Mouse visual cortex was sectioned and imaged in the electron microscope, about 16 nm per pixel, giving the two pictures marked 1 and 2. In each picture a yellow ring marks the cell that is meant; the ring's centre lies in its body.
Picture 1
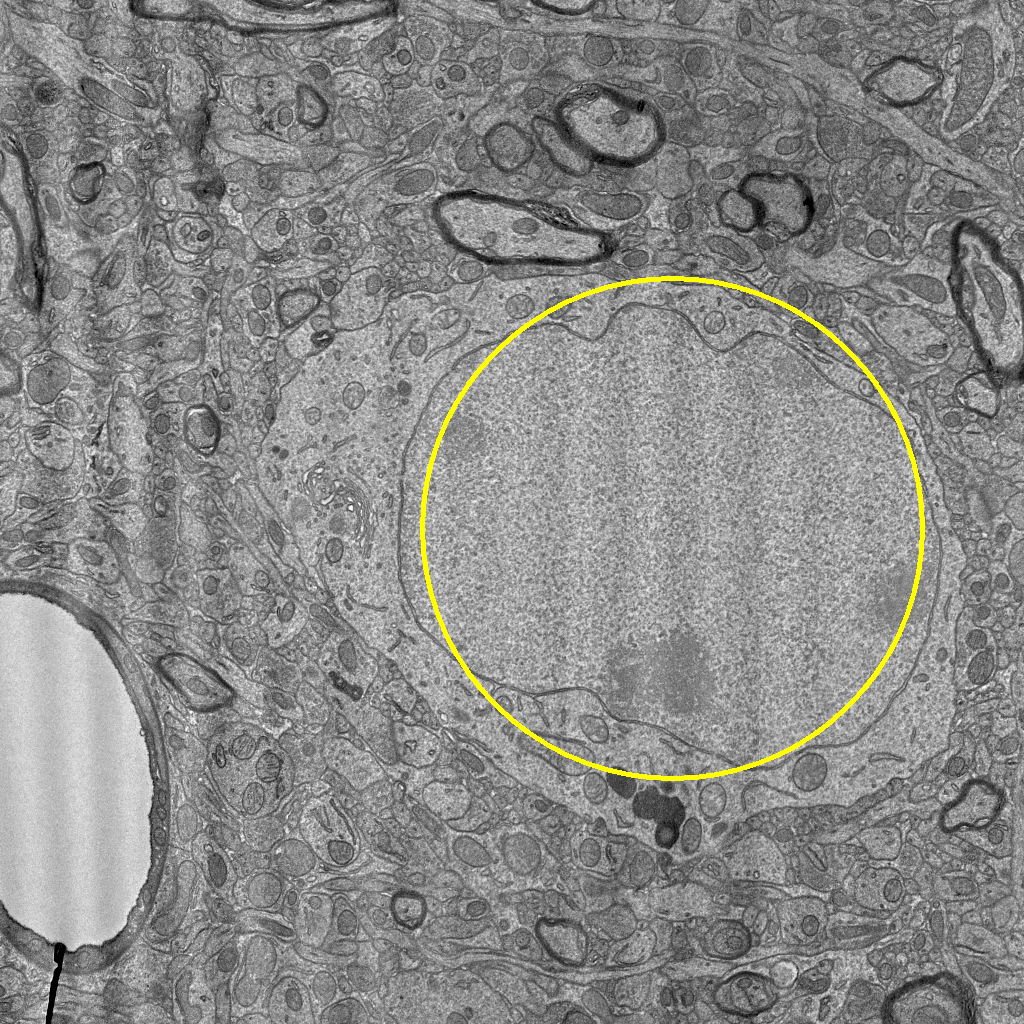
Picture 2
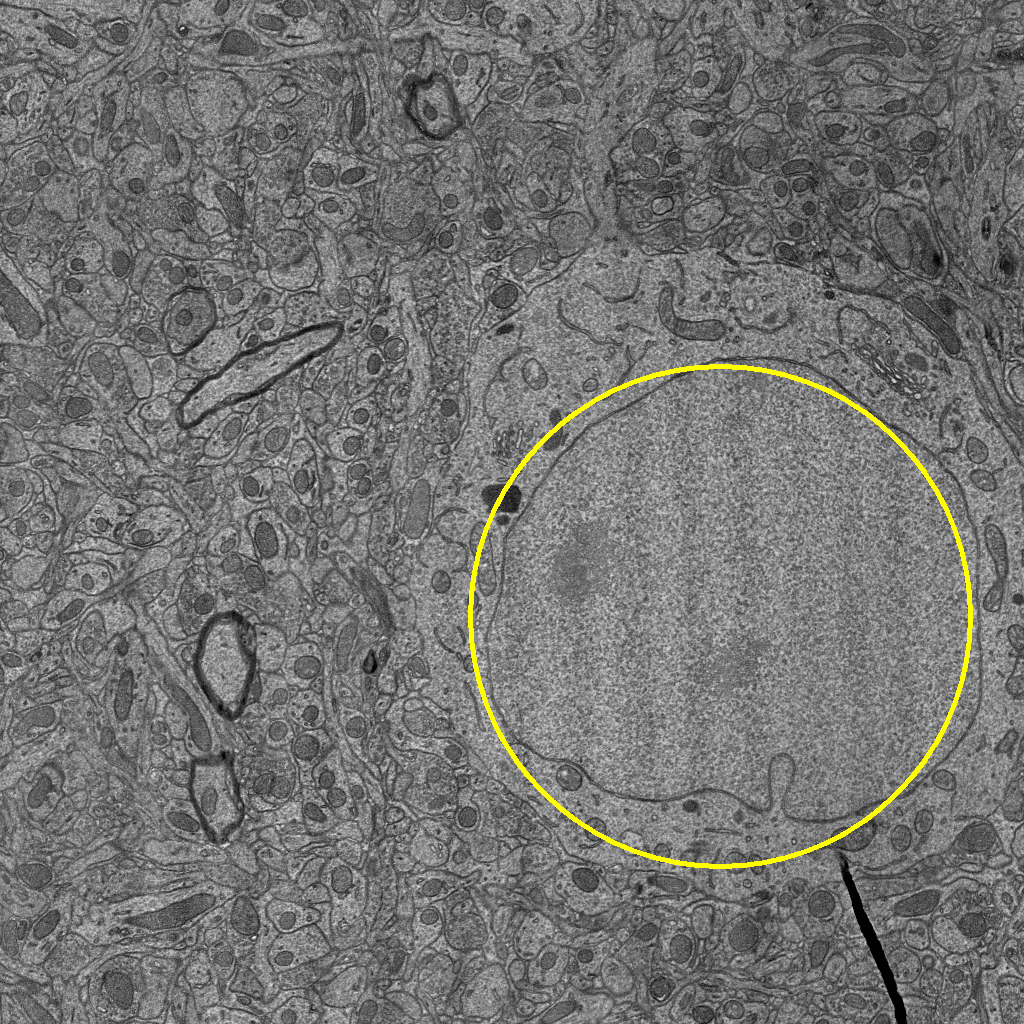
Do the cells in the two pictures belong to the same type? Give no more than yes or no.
yes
